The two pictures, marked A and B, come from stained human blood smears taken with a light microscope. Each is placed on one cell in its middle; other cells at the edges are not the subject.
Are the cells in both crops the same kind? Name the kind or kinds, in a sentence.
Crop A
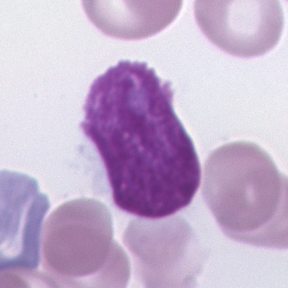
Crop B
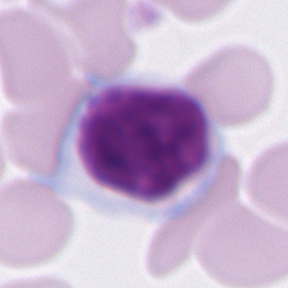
No, crop A shows a smudge cell, whereas a typical lymphocyte is what crop B shows.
